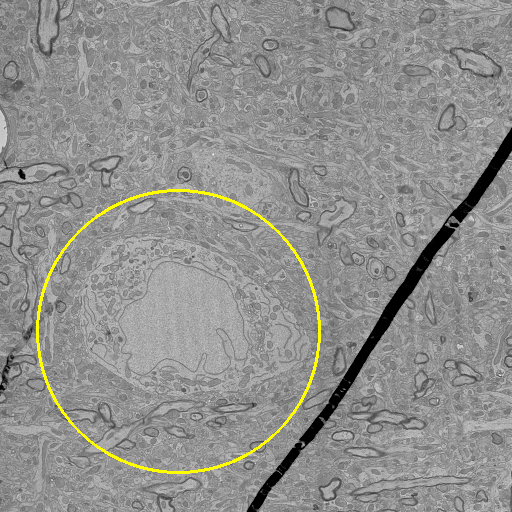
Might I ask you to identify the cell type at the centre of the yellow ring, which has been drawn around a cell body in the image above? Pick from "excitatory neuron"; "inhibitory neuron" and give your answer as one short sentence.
The centre of the ring falls on an inhibitory neuron.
